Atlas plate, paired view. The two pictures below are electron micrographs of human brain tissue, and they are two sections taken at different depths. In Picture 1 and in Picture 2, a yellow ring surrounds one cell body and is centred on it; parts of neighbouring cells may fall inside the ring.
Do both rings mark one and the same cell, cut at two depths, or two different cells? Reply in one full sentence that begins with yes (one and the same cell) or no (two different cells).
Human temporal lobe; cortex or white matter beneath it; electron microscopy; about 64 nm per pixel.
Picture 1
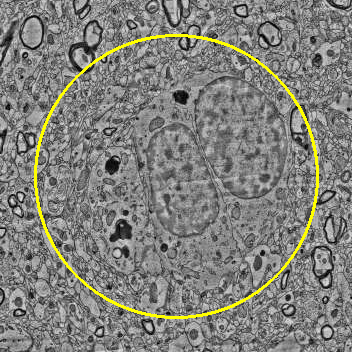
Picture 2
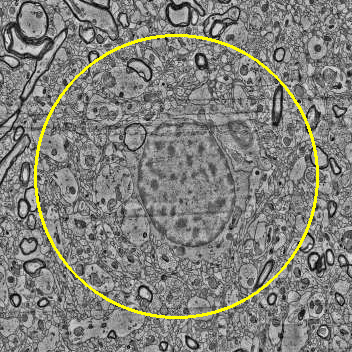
Yes, the two marked outlines come from one and the same cell.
